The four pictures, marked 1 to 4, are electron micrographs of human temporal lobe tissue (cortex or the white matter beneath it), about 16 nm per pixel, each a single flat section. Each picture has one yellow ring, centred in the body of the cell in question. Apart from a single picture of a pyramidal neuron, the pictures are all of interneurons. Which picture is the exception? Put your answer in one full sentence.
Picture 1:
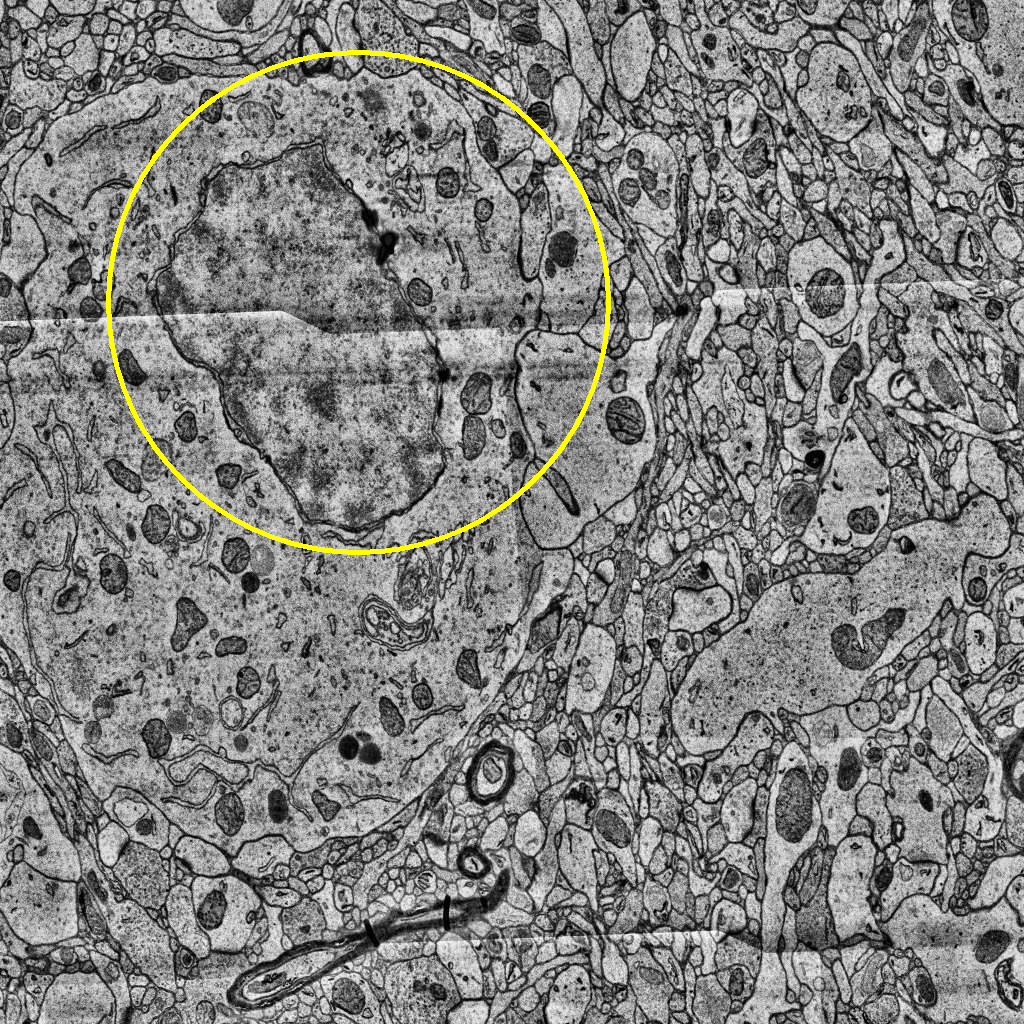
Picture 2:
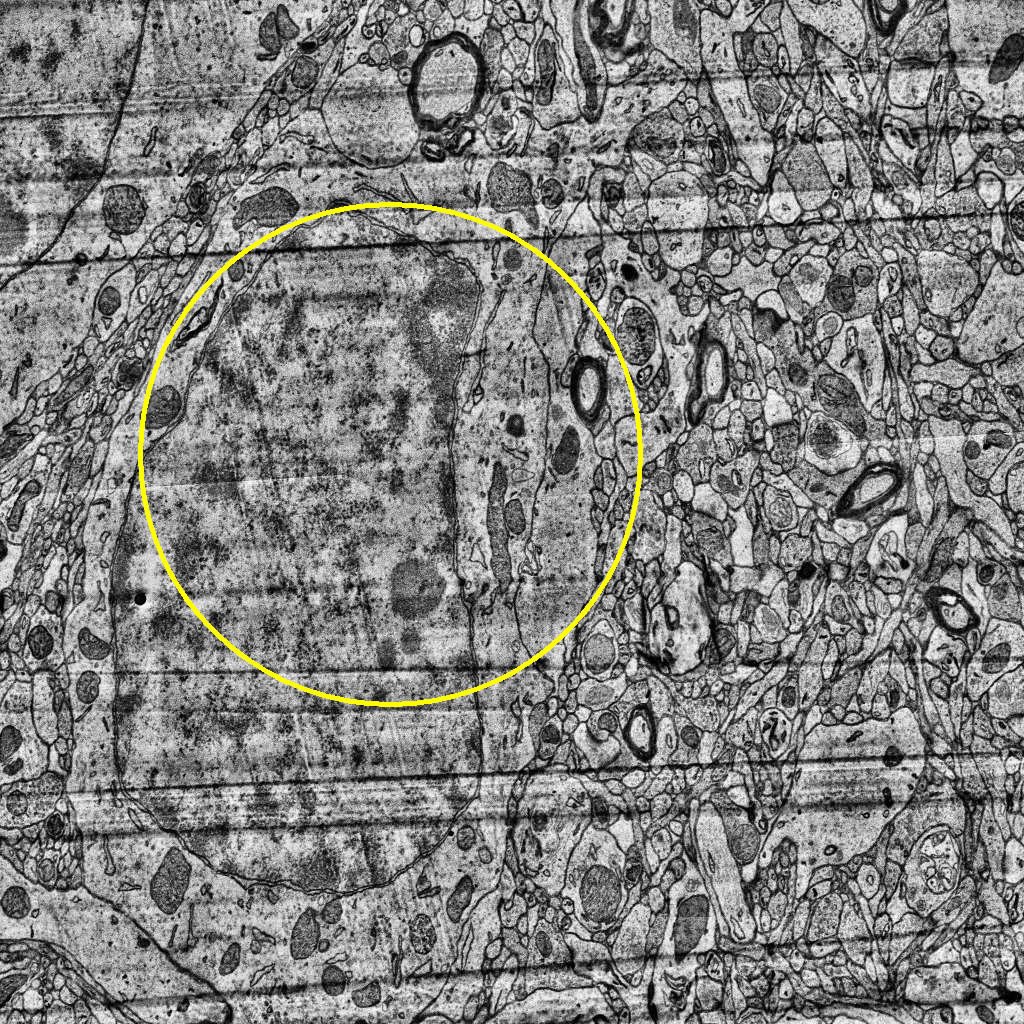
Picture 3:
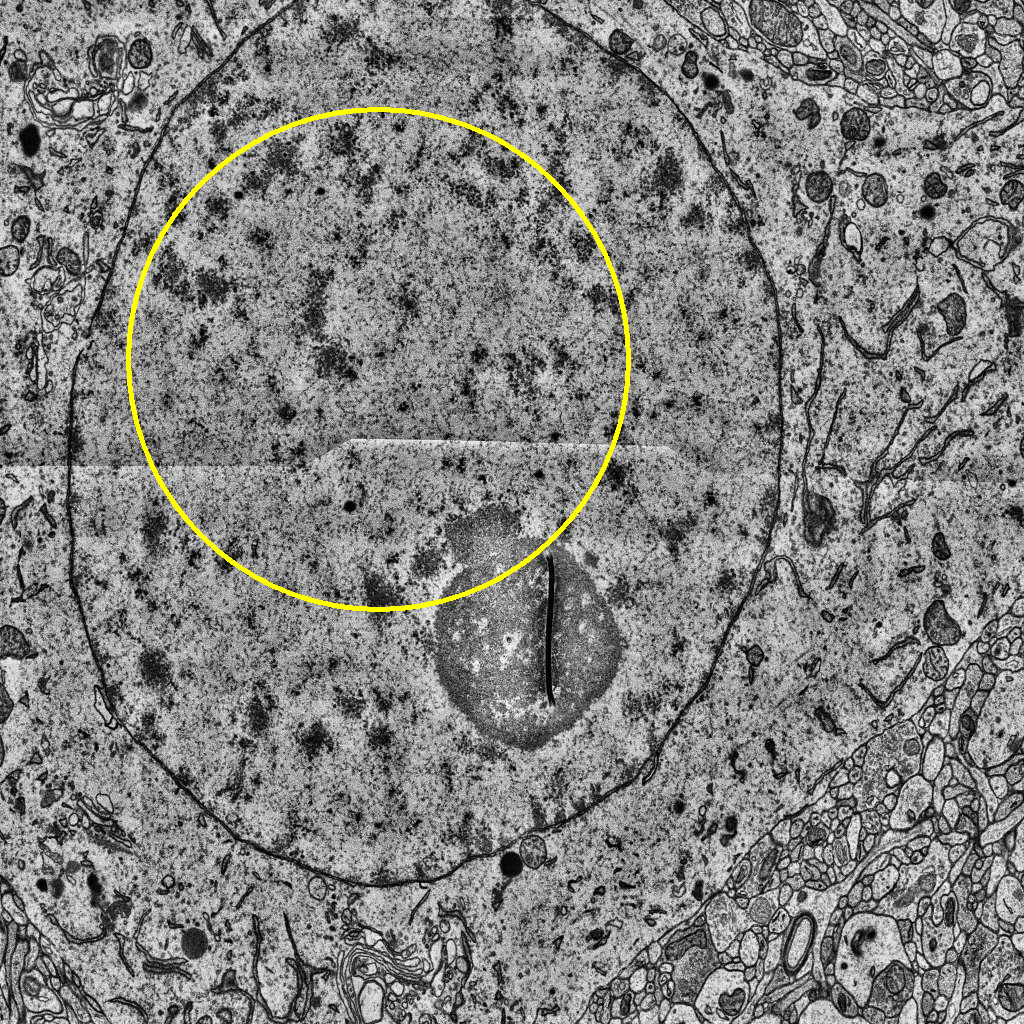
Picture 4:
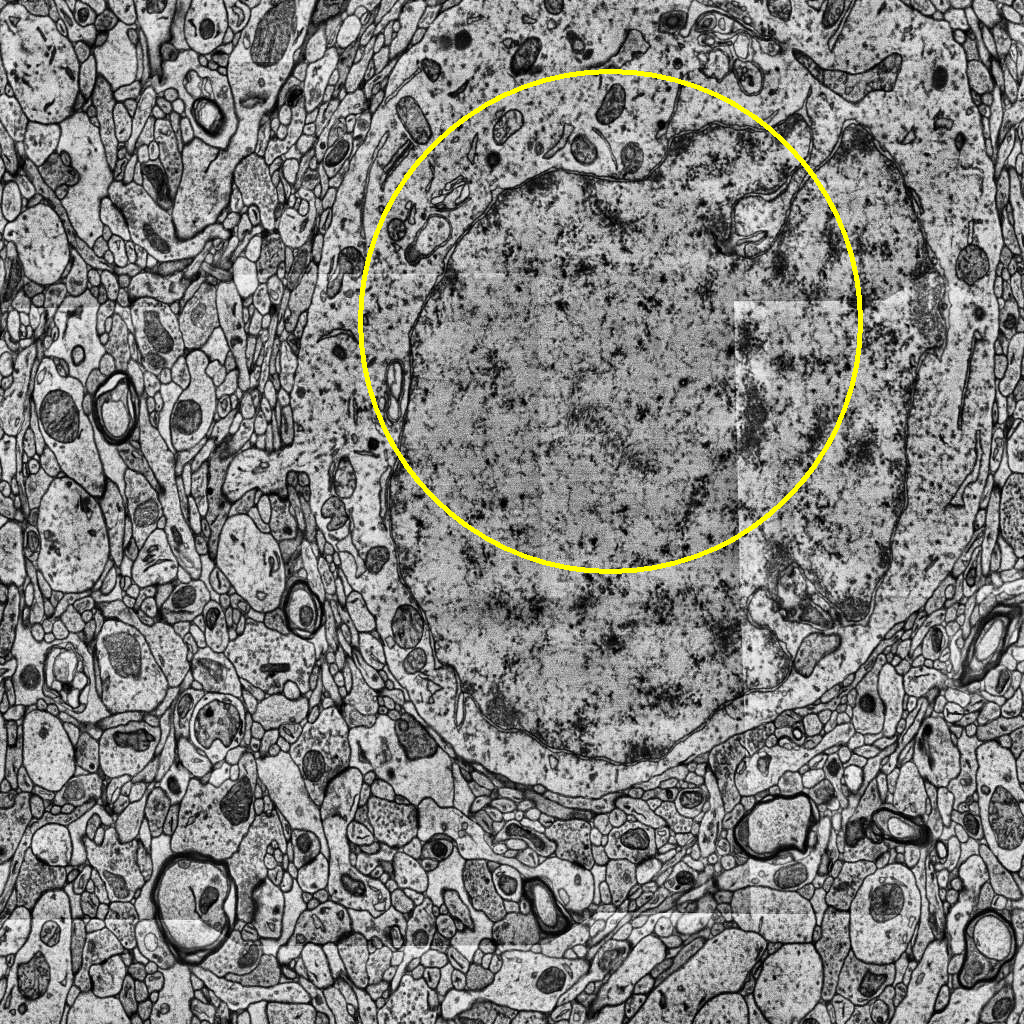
The picture with the pyramidal neuron is 3.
